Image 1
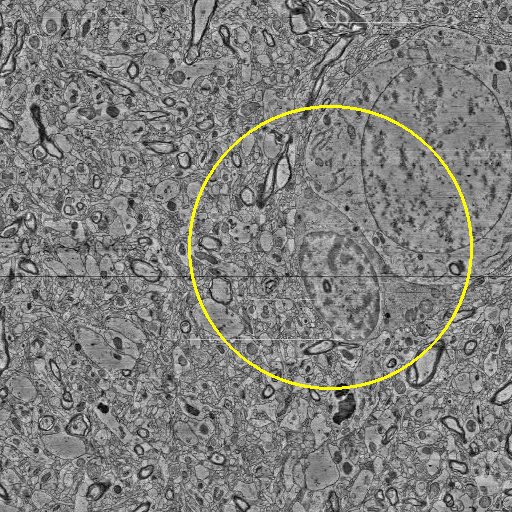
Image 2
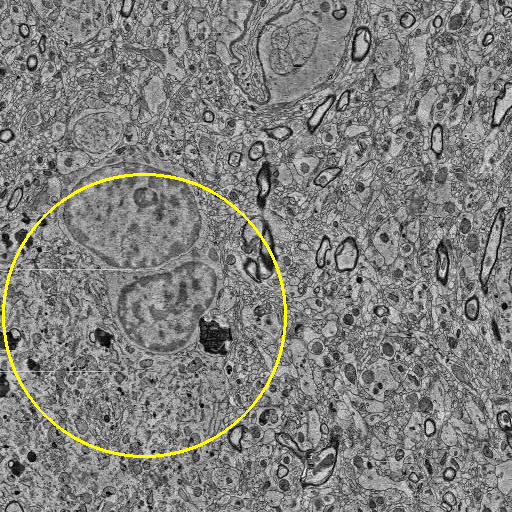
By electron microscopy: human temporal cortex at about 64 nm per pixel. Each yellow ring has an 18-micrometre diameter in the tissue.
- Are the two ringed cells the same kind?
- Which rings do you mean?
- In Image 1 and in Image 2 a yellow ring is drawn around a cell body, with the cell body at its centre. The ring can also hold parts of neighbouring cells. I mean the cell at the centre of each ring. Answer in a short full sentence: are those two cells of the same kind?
Yes, both cells are of the same kind.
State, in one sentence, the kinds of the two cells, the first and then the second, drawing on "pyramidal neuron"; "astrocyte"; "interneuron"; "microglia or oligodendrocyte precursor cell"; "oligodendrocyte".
The second cell is an oligodendrocyte, just as the first is.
